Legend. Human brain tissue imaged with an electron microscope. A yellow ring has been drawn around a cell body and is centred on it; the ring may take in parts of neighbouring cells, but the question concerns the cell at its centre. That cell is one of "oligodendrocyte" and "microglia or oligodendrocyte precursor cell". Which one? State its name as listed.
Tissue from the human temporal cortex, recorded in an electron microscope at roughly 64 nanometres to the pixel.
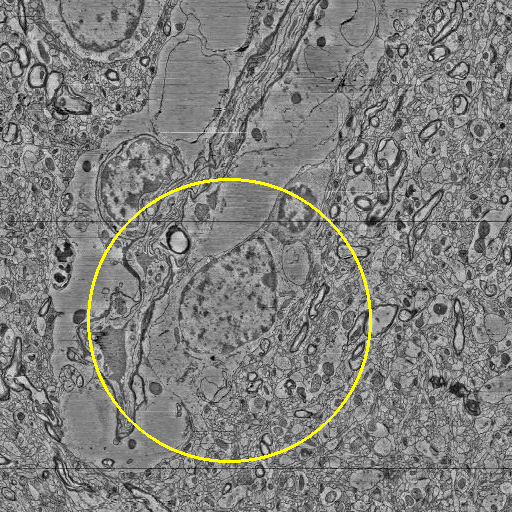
microglia or oligodendrocyte precursor cell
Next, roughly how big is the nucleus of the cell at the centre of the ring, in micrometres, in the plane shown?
The ringed cell's nucleus measures approximately 9 by 6 micrometres in this plane.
